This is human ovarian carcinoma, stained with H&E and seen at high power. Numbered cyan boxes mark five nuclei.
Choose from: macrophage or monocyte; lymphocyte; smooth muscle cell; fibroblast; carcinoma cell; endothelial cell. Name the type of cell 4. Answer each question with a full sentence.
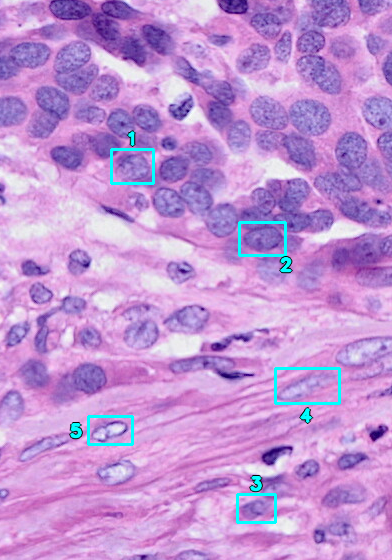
The numbered cell 4 is identified here as a fibroblast.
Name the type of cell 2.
Cell number 2 in this section is a carcinoma cell.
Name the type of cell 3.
Number 3 is placed on a fibroblast here.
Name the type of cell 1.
The cell to which the number 1 is assigned is a carcinoma cell.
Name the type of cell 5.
The correct label for cell 5 is a fibroblast.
